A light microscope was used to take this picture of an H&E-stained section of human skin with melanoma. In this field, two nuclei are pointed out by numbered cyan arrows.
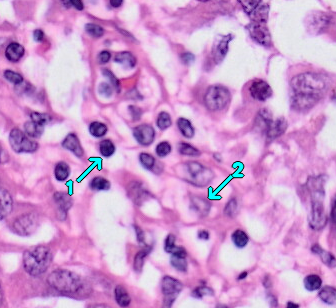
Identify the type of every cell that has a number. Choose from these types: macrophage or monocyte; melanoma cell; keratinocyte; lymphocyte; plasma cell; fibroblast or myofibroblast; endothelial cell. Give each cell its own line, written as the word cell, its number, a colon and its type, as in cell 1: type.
cell 1: lymphocyte
cell 2: endothelial cell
